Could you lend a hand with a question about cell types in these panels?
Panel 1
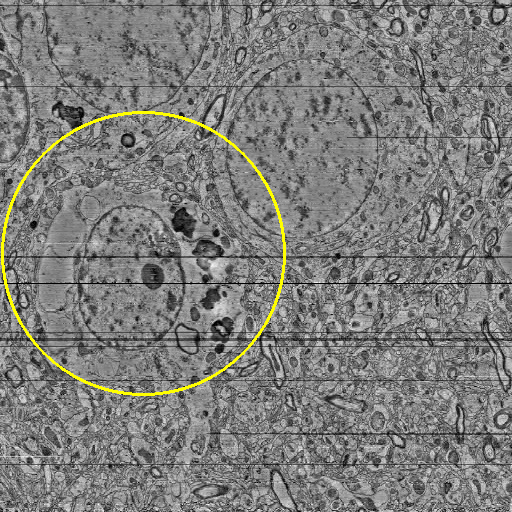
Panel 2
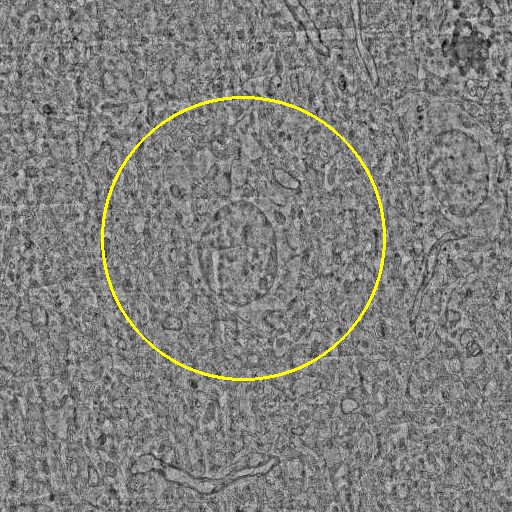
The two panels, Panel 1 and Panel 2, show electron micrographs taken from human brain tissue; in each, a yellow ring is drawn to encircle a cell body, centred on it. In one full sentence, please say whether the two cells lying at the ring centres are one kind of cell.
Yes, the cells at the ring centres in the two panels are one kind of cell.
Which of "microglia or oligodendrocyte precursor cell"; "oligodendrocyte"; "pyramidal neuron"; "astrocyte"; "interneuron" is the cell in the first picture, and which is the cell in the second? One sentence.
The second cell is an astrocyte, just as the first is.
